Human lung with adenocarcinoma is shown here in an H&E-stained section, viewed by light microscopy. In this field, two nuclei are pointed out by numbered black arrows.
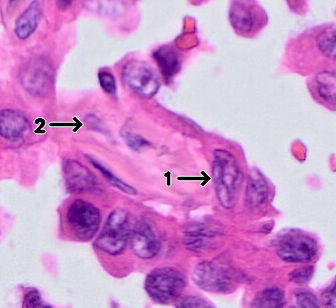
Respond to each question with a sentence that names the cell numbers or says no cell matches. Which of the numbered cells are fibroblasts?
Among the marked cells, cell number 2 alone is a fibroblast.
